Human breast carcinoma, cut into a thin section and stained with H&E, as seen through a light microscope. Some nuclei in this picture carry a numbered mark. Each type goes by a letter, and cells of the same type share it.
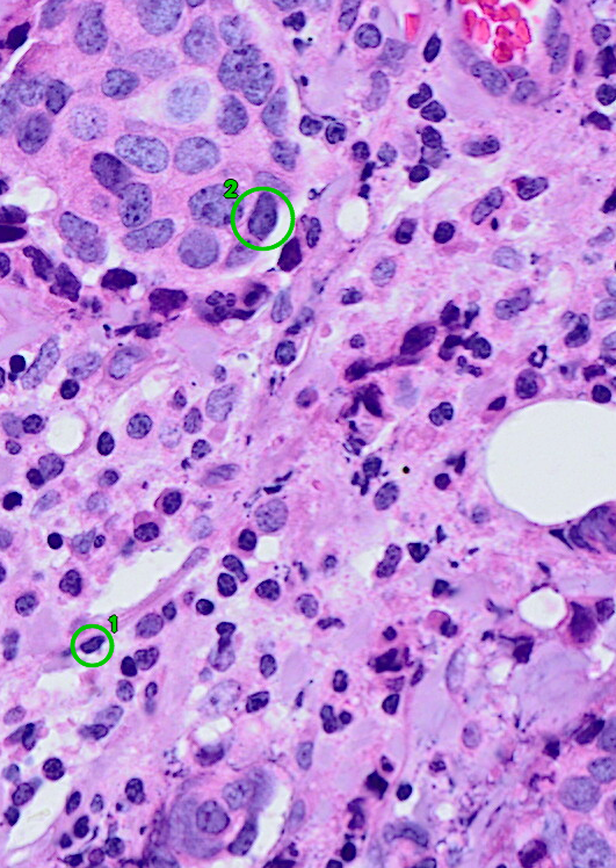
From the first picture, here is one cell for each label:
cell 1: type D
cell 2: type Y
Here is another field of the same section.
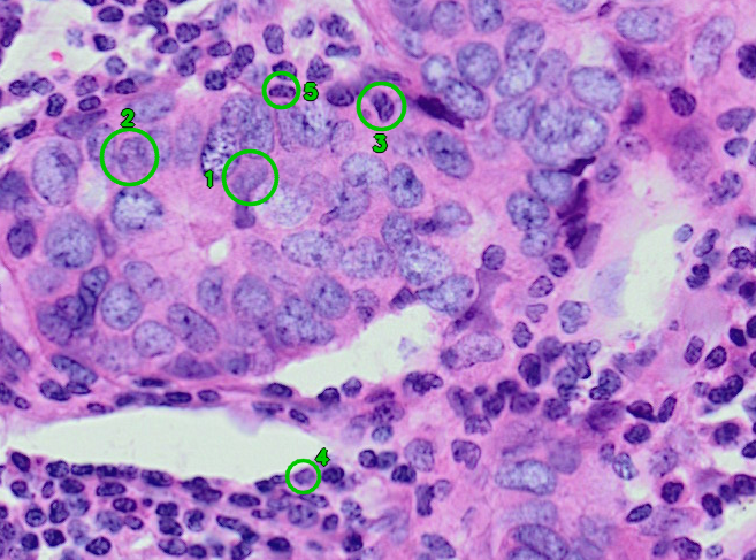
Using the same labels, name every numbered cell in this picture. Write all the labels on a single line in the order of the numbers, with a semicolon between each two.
type Y; type Y; type D; type D; type D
